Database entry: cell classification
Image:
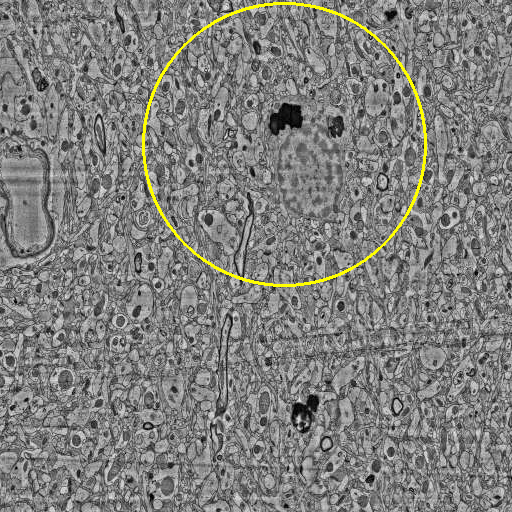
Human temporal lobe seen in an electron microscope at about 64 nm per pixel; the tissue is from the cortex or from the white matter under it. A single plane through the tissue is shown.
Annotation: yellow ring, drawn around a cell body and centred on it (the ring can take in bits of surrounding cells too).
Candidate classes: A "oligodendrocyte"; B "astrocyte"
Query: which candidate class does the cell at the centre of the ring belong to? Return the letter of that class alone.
A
